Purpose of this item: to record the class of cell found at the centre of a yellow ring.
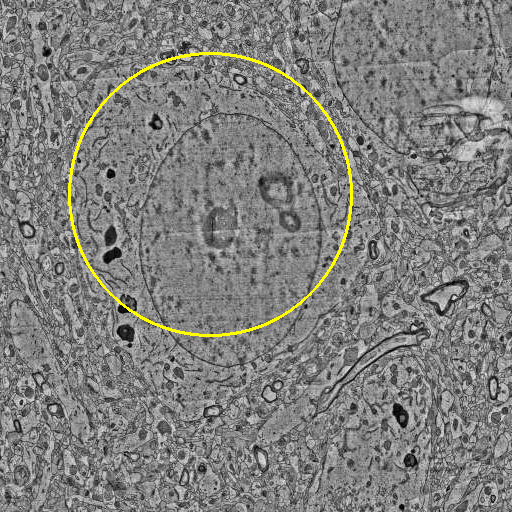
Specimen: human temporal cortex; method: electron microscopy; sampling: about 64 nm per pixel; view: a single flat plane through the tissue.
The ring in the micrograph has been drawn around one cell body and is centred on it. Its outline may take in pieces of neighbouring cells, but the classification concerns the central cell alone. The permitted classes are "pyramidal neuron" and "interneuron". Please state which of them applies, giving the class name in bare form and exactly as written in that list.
pyramidal neuron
